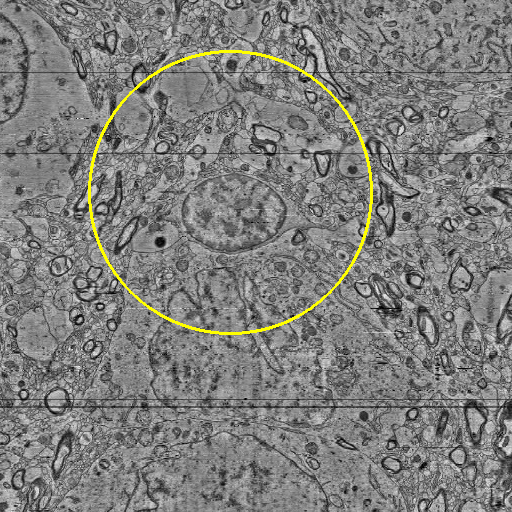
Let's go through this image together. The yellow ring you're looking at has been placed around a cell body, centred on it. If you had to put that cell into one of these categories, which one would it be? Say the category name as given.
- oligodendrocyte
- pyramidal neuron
oligodendrocyte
